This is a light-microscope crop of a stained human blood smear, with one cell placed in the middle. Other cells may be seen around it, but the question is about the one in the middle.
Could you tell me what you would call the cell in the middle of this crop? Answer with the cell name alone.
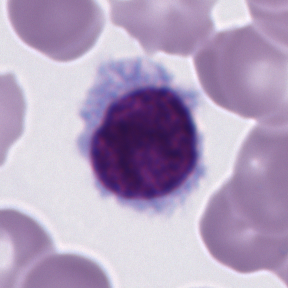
hairy cell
